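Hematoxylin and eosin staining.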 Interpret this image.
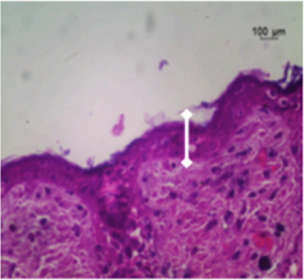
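The epidermis forms a densely cellular, purple band at the surface, capped by a thin dark-staining outer layer; a bar spans its depth. Below it the dermis is paler, with loosely arranged pink fibres and scattered nuclei, and a few small vessels. The boundary between the cellular epidermis and the fibrous dermis is gently undulating.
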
